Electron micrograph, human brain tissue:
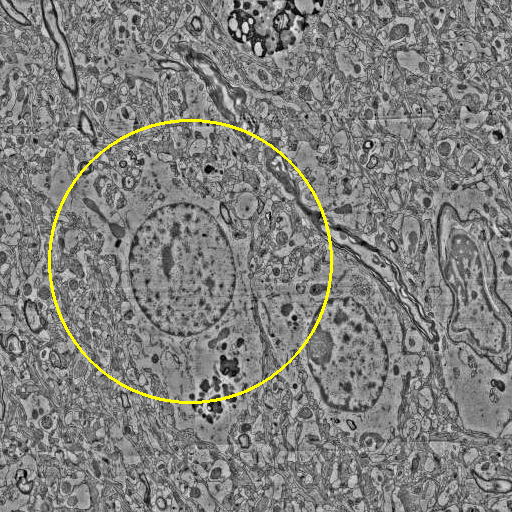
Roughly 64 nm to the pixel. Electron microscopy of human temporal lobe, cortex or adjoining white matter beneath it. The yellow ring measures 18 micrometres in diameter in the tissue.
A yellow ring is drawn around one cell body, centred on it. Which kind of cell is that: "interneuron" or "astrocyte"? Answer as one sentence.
It is an astrocyte at the centre of the ring.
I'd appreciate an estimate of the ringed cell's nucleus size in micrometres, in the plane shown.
In this plane, about 8 micrometres in length and 7 in width.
